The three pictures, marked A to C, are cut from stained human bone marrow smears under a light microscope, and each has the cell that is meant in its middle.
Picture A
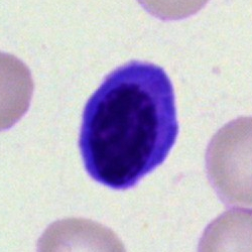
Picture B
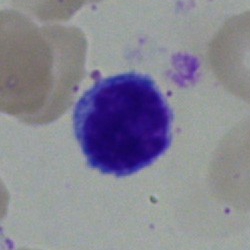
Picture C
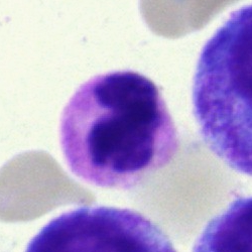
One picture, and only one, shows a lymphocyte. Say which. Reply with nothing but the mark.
B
